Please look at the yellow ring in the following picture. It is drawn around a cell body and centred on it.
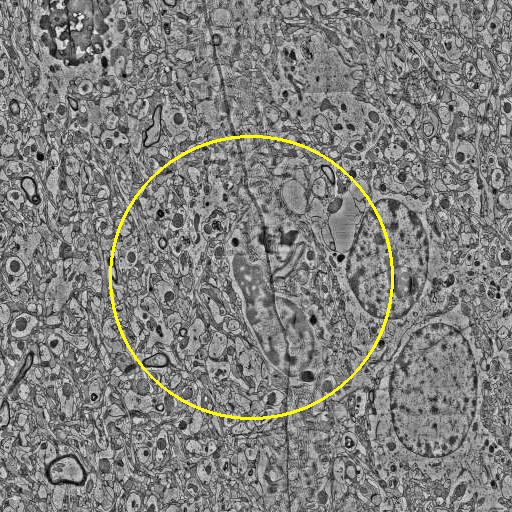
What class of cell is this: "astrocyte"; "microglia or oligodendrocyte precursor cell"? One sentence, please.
The ring surrounds the cell body of a microglial cell or oligodendrocyte precursor cell.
